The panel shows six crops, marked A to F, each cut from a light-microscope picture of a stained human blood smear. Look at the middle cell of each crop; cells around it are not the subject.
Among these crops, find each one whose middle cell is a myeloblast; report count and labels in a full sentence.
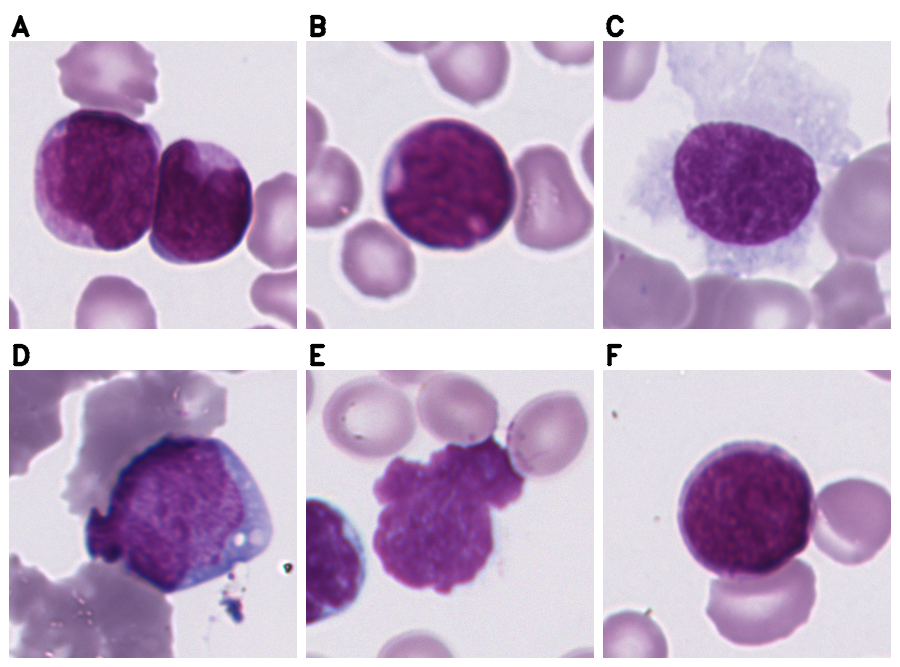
Overall, four of the crops show myeloblasts: A, B, D and F.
